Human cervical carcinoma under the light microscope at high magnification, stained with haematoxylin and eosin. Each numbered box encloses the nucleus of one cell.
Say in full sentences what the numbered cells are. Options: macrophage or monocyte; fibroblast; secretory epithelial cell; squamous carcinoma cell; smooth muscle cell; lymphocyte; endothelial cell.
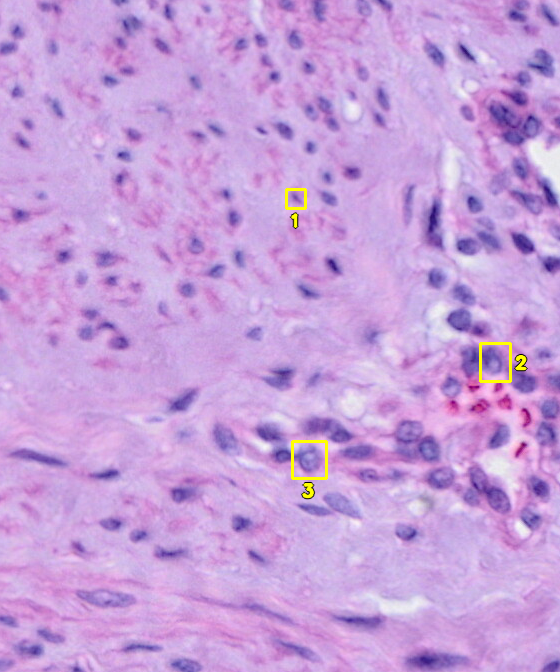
Cell 1 is a smooth muscle cell, cell 2 is an endothelial cell and cell 3 is an endothelial cell.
